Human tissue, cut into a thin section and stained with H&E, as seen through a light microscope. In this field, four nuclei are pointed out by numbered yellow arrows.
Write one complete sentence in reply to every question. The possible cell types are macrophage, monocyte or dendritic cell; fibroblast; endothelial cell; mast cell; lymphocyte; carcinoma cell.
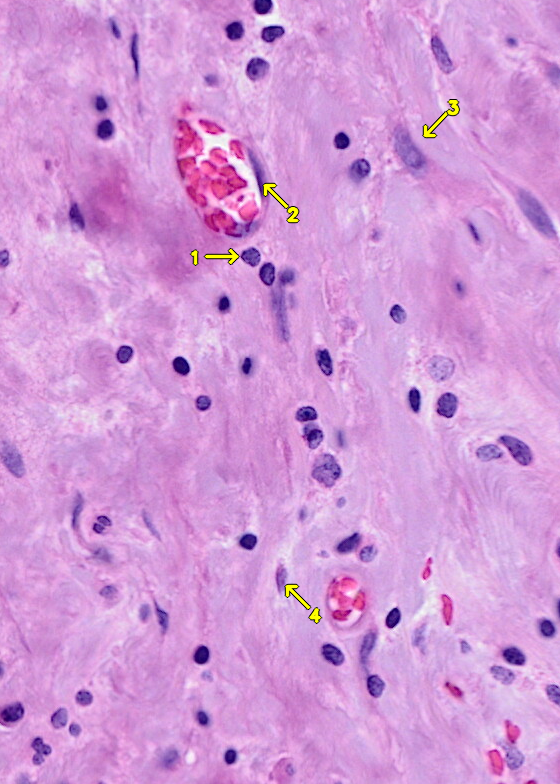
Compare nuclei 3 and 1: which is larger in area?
The larger nucleus is 3, at roughly 3 times the area of 1.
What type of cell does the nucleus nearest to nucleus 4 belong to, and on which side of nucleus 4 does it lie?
The nearest nucleus is that of a lymphocyte and lies above and to the left of nucleus 4.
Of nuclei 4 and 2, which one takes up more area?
At about 2.5 times the area of nucleus 4, nucleus 2 is the larger of the two.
